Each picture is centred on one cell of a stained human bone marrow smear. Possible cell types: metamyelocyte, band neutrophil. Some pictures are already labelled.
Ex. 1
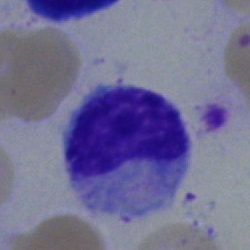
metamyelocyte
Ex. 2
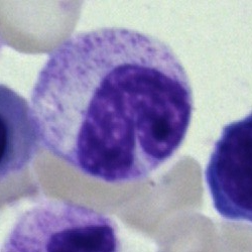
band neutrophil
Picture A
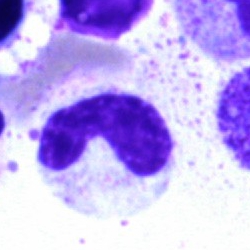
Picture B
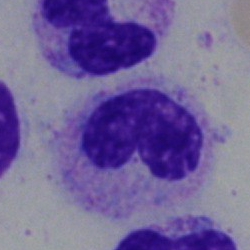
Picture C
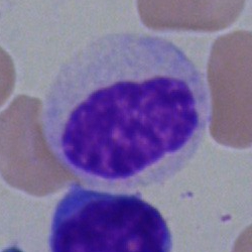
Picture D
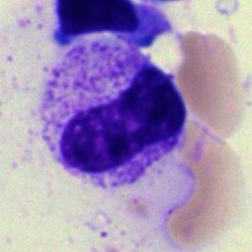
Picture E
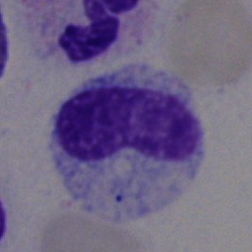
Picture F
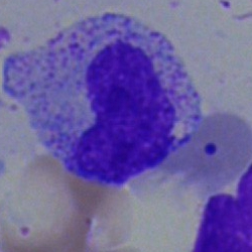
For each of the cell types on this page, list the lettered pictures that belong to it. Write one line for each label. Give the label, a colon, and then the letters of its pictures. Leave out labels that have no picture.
metamyelocyte: C, F
band neutrophil: A, B, D, E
